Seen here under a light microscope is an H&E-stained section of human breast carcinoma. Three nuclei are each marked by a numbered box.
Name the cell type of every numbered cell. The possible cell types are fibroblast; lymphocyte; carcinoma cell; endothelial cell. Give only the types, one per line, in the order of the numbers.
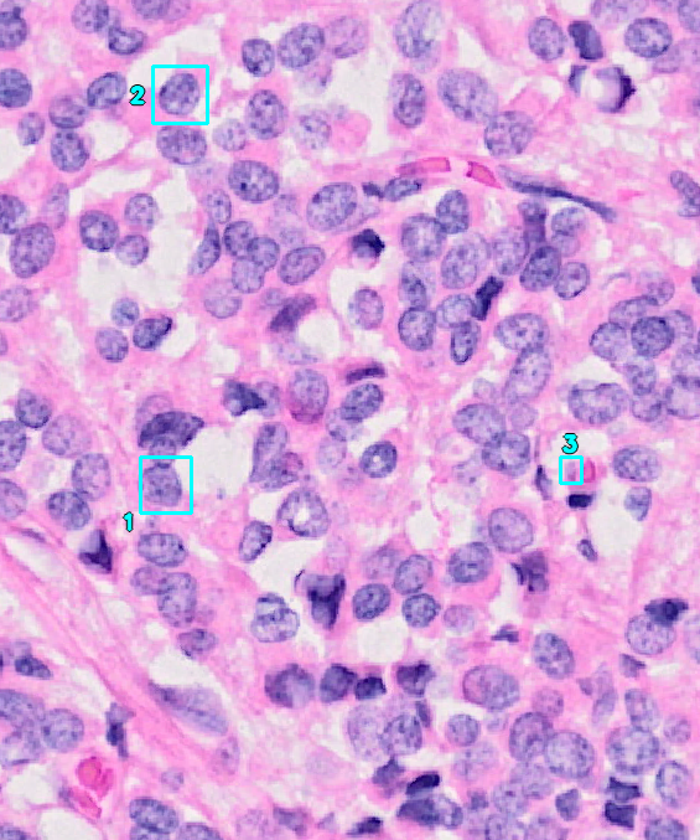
carcinoma cell
carcinoma cell
endothelial cell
